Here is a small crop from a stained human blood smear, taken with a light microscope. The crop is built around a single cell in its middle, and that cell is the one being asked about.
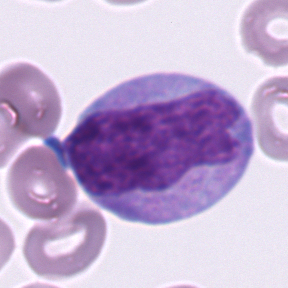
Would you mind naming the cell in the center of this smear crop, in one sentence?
The cell under consideration, at the middle of the crop, is an atypical promyelocyte.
